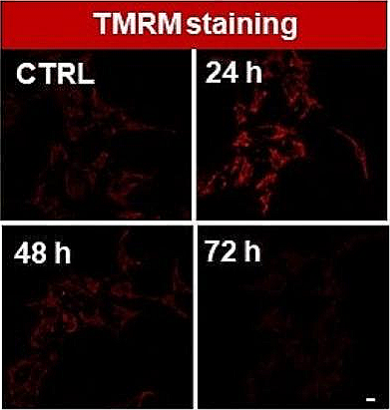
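These are cultured cells seen in a grid of four dark-field fluorescence views, each showing clusters of cells outlined by fine red fluorescence. The red label lies in a granular and threadlike pattern in the cytoplasm, sketching irregular, spread cell bodies with a few extended processes, while the nuclei are not stained and stand out only as darker gaps. The cells lie in loose groups with much dark background between them. The brightness differs clearly from view to view: in one of the four the red pattern is bright and dense, while in another it is so faint that the cells can barely be made out.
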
